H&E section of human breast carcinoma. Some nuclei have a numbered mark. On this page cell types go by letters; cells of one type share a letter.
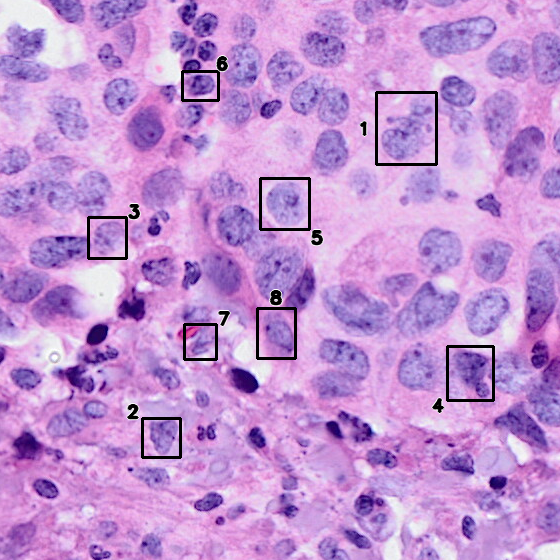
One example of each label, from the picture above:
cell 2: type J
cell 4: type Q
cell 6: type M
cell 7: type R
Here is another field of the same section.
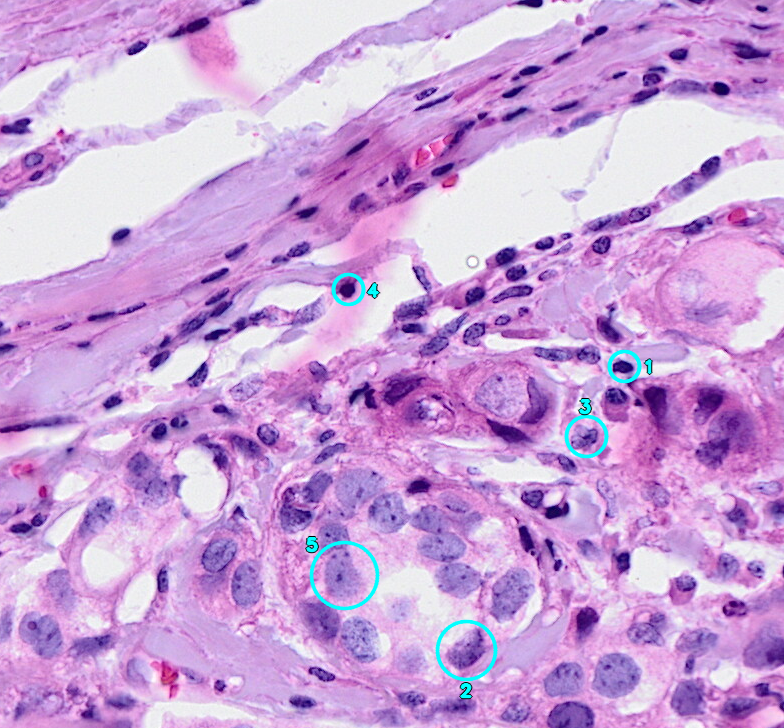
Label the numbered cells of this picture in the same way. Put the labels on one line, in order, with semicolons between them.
type M; type Q; type J; type M; type Q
